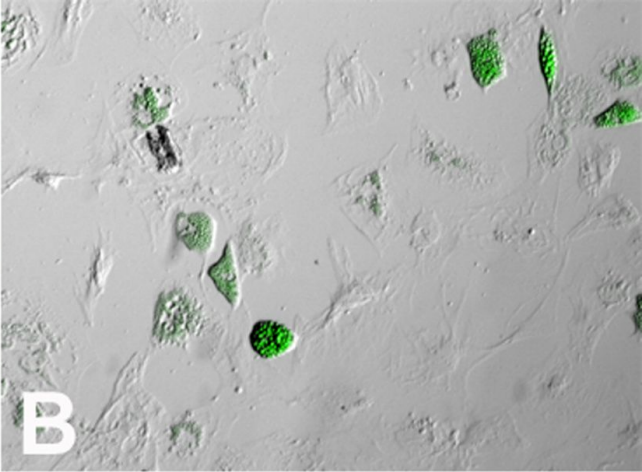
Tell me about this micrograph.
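Only some scattered cells are packed with bright round droplets, while several others show just faint granular green. Most of the field is a flat grey layer of large spread cells whose outlines are barely visible.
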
